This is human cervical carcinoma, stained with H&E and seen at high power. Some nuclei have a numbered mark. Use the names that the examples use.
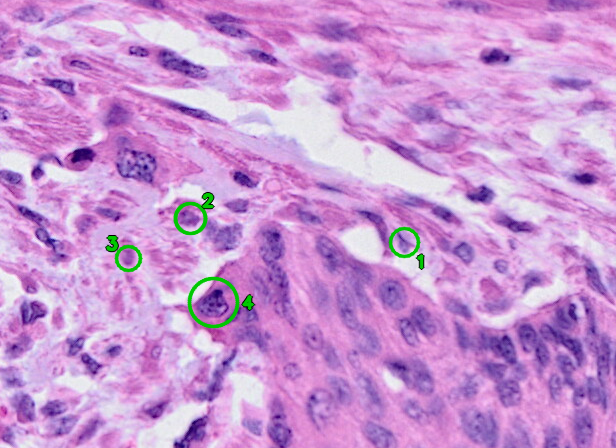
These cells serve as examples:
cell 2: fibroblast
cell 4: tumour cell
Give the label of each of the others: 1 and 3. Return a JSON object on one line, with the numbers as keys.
{"1": "fibroblast", "3": "fibroblast"}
